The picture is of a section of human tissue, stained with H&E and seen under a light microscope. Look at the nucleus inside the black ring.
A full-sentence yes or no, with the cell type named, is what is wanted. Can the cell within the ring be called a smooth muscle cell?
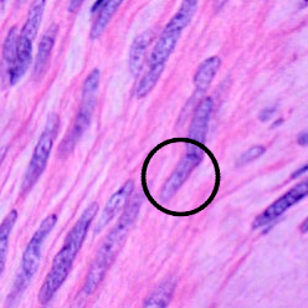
Yes, the cell within the ring corresponds to a smooth muscle cell in this tissue.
